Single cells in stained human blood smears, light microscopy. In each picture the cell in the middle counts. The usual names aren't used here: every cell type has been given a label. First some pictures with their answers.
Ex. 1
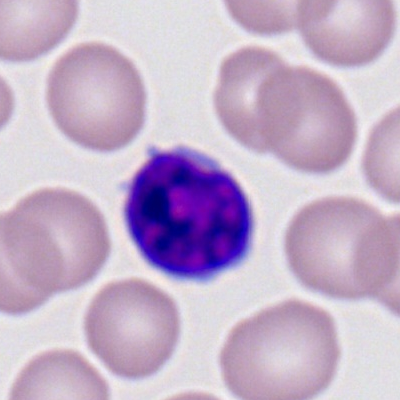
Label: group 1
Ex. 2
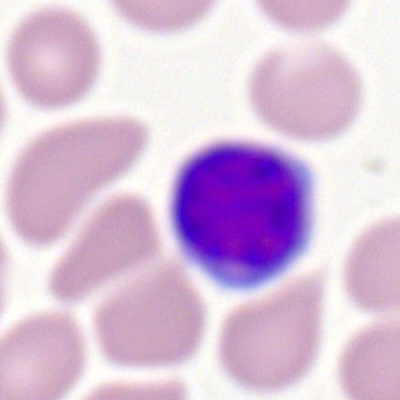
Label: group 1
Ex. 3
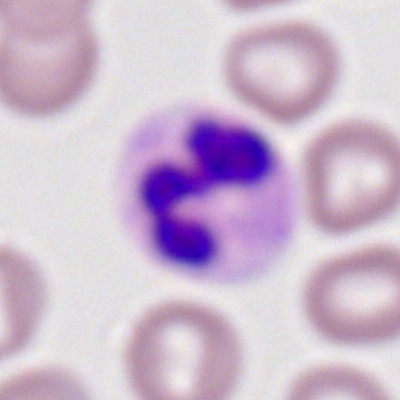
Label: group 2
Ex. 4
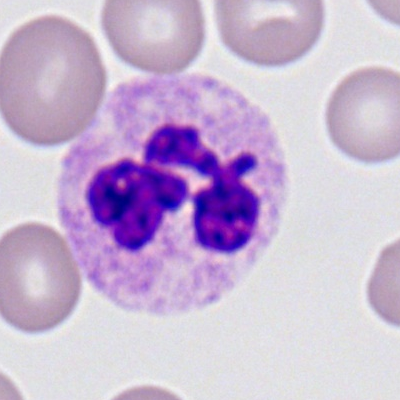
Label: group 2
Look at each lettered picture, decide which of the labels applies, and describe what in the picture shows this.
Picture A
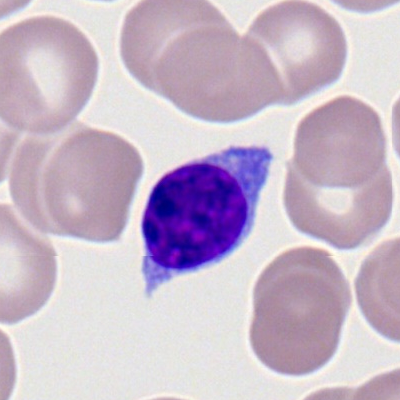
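group 1. Reason: The cytoplasm is scant, apart from the two tapering extensions.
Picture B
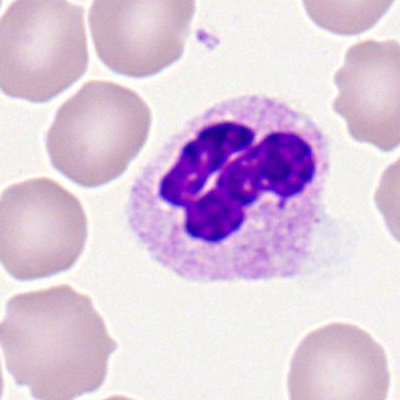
group 2. Reason: The cytoplasm is plentiful and pale pinkish-lilac.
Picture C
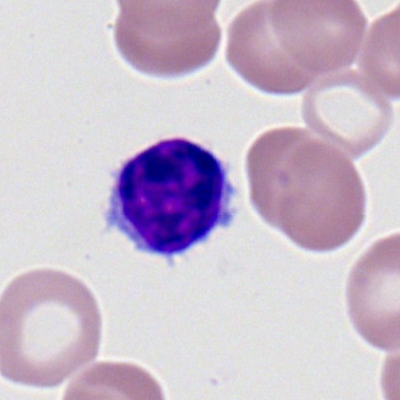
group 1. Reason: The cytoplasm is a scanty rim of pale blue around the nucleus.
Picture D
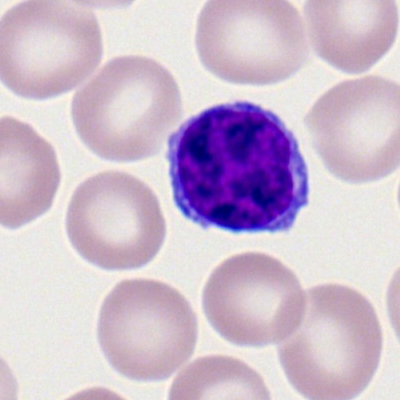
group 1. Reason: The cytoplasm forms only a thin rim around the nucleus.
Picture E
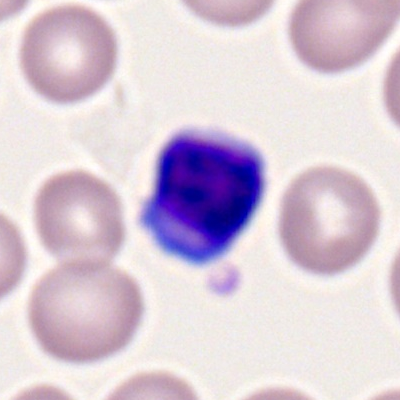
group 1. Reason: The nucleus fills most of the cell.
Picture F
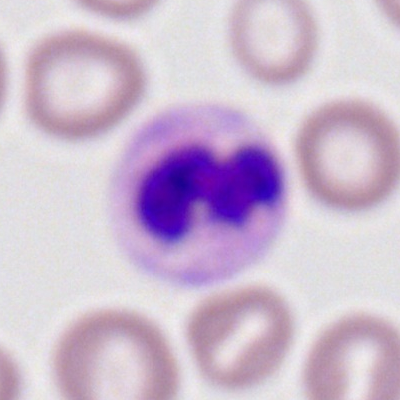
group 2. Reason: The nucleus is divided into lobes joined by narrower parts.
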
